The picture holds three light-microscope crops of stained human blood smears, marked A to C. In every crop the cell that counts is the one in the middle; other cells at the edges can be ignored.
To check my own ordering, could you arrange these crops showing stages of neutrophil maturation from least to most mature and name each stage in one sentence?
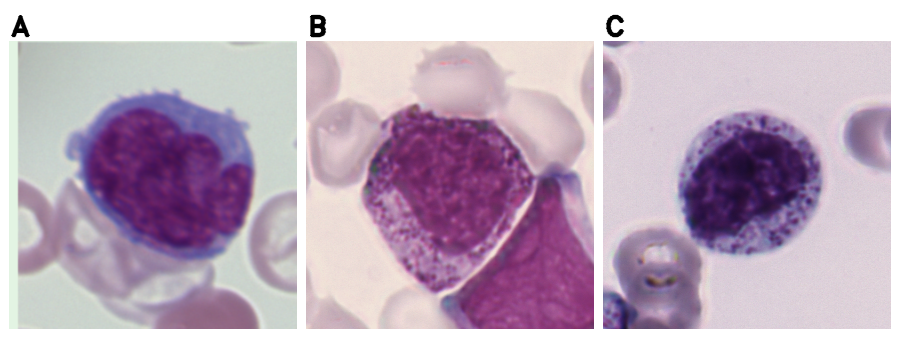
From lowest to highest maturity, the crops run crop A (a blast), crop B (a myelocyte) and crop C (a metamyelocyte).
